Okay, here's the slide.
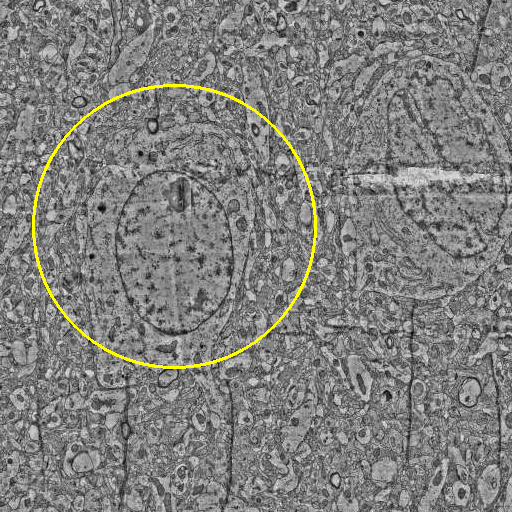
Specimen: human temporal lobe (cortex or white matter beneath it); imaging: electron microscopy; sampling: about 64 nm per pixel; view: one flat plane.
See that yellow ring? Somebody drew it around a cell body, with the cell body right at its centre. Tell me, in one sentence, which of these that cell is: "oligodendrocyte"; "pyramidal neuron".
The cell in the middle of the ring is a pyramidal neuron.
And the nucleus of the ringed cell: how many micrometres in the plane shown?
The ringed cell's nucleus is about 11 micrometres long and 8 micrometres wide in this plane.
